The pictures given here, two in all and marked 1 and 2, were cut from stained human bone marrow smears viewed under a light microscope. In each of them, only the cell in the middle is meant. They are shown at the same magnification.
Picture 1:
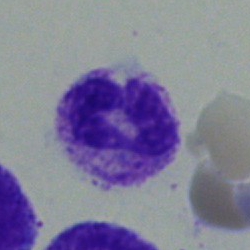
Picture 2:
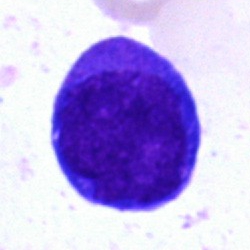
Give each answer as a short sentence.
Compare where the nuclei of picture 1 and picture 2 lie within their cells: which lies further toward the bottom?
In picture 2 the nucleus is shifted more toward the bottom.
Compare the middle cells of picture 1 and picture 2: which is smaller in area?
Picture 1 holds the smaller cell, since the cell in picture 2 covers about 2 times as much area.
